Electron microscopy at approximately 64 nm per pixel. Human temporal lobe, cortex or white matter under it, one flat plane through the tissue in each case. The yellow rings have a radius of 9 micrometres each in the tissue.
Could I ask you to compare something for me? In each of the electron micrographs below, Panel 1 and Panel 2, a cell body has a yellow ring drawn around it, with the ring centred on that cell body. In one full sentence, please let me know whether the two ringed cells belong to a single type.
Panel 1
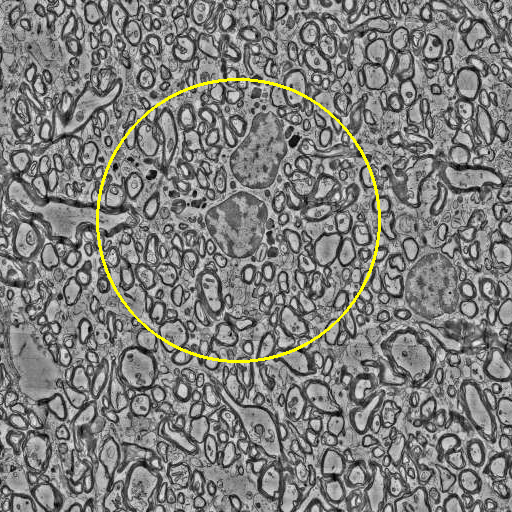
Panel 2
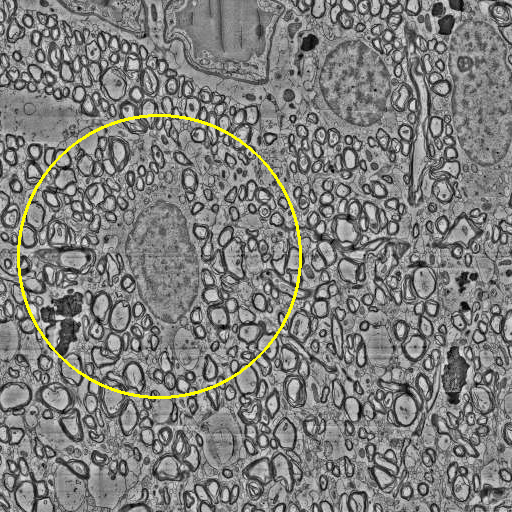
No, the two cells at the centres of the rings are of two types.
